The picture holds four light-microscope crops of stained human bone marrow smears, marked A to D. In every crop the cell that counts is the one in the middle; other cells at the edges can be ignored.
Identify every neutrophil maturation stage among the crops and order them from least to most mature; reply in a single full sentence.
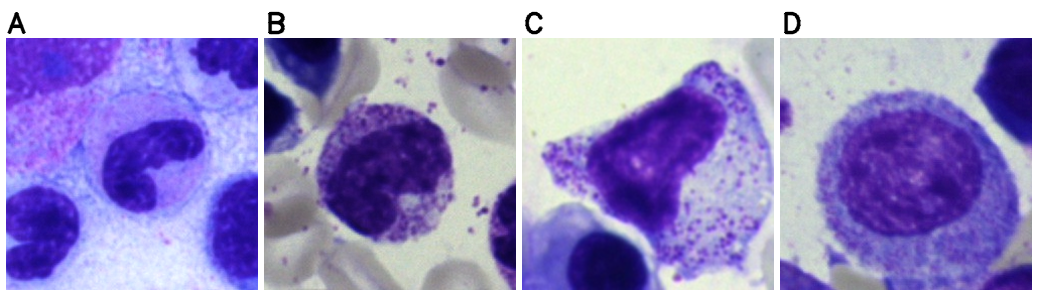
Arranging the cells from least to most mature gives crop D (a promyelocyte), crop C (a metamyelocyte), crop B (a band neutrophil) and crop A (a segmented neutrophil).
